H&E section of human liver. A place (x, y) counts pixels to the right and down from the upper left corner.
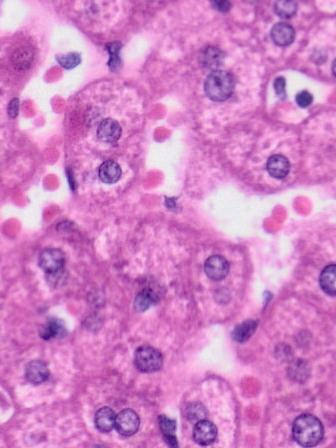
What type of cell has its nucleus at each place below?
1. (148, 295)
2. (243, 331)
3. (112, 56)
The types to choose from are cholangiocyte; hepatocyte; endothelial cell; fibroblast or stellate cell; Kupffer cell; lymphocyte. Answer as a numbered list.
1. endothelial cell
2. fibroblast or stellate cell
3. endothelial cell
